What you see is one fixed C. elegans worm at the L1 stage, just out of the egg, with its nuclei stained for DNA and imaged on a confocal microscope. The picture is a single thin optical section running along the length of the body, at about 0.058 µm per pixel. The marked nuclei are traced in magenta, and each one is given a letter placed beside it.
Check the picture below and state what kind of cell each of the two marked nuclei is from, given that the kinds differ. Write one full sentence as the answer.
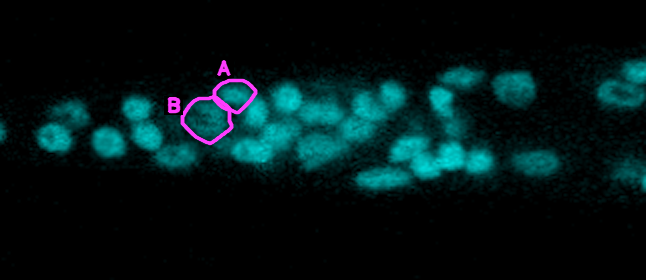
A is in a body wall muscle cell and B is in a seam cell.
